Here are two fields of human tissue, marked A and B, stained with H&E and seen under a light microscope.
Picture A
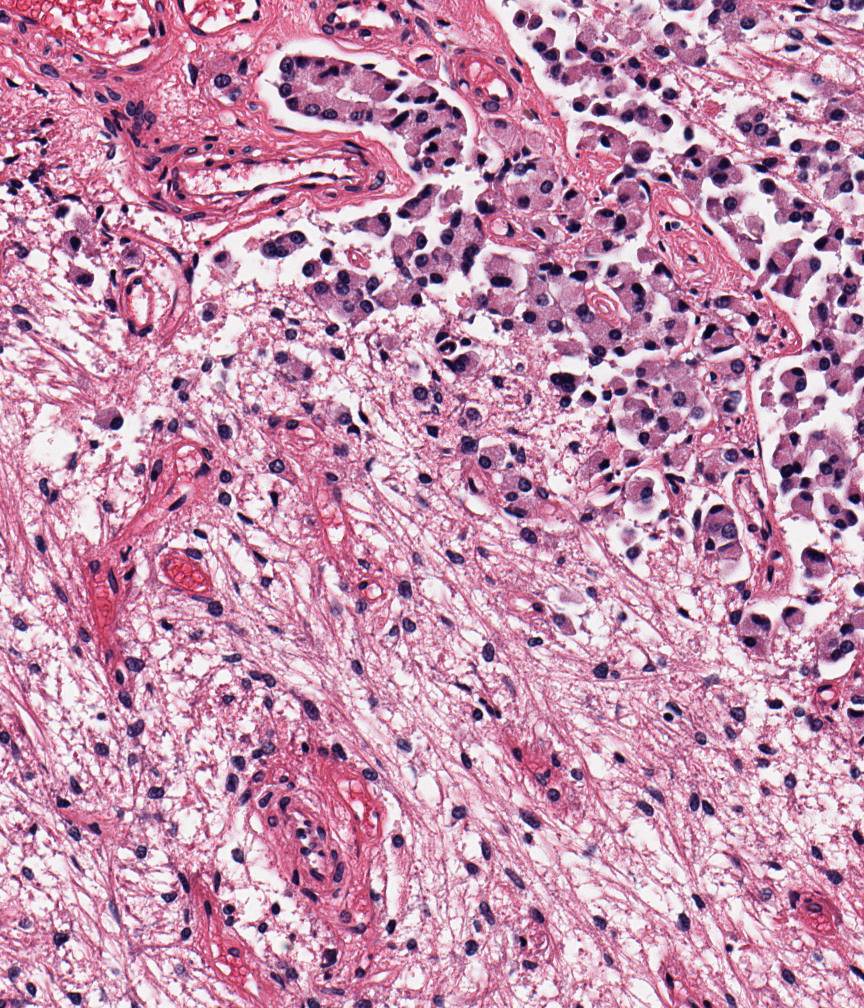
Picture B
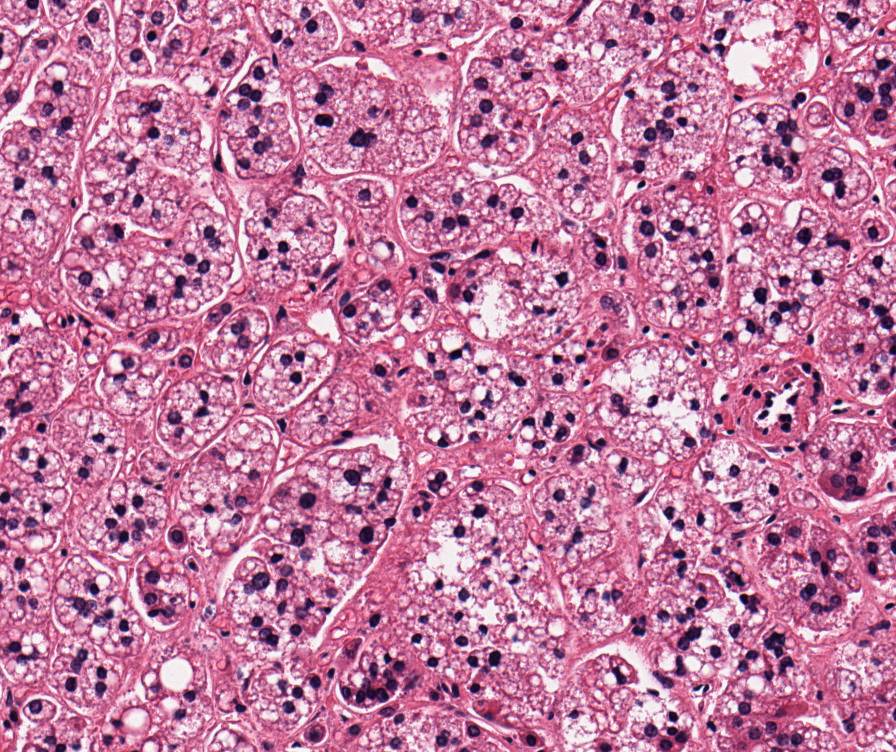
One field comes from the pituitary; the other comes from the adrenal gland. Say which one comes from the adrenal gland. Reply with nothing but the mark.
B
